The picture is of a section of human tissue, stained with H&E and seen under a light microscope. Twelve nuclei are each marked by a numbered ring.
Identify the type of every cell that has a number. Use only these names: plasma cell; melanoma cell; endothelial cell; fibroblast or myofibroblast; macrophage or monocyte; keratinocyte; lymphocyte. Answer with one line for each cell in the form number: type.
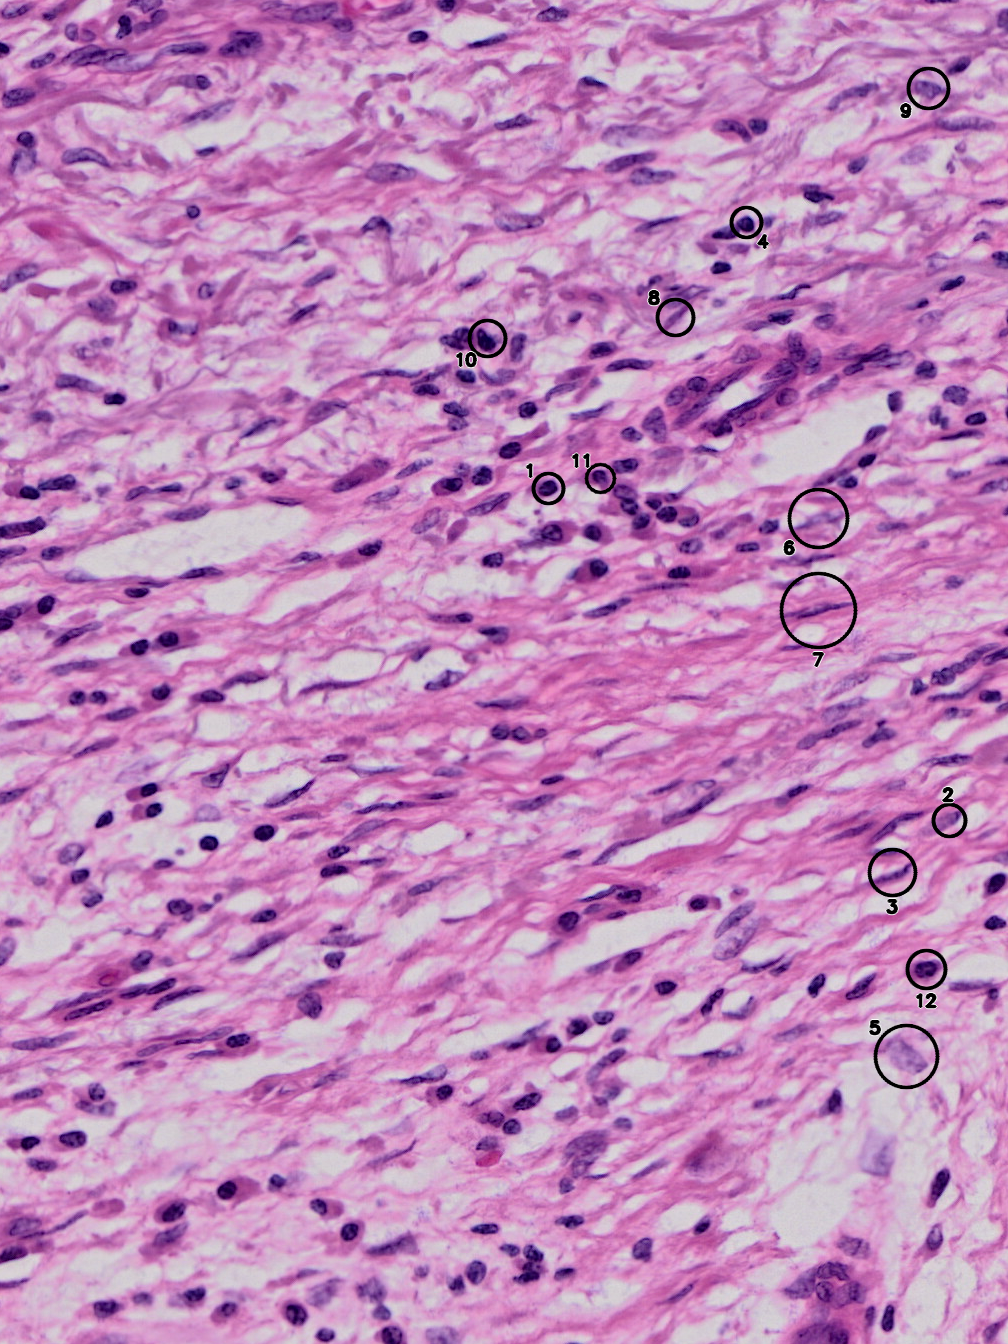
1: plasma cell
2: fibroblast or myofibroblast
3: fibroblast or myofibroblast
4: lymphocyte
5: fibroblast or myofibroblast
6: fibroblast or myofibroblast
7: fibroblast or myofibroblast
8: fibroblast or myofibroblast
9: fibroblast or myofibroblast
10: plasma cell
11: plasma cell
12: plasma cell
